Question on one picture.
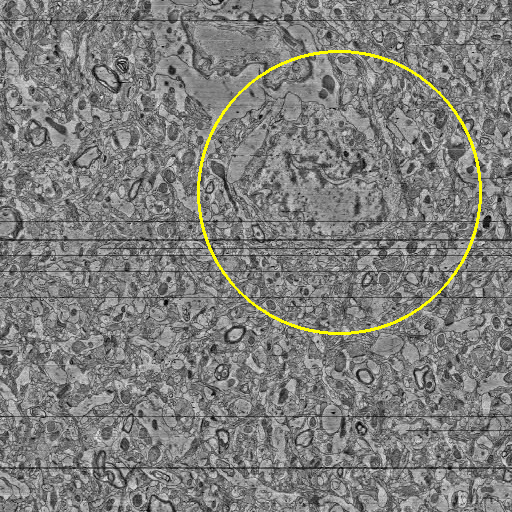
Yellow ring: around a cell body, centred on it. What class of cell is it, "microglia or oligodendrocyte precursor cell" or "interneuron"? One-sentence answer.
This is an interneuron, the cell the ring is centred on.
